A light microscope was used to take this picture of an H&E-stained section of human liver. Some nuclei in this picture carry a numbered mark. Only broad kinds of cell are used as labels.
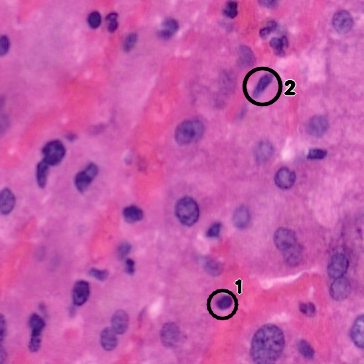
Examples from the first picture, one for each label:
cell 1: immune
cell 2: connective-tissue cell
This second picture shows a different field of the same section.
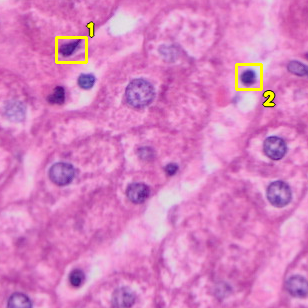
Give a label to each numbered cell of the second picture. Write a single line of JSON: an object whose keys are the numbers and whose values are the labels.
{"1": "connective-tissue cell", "2": "immune"}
